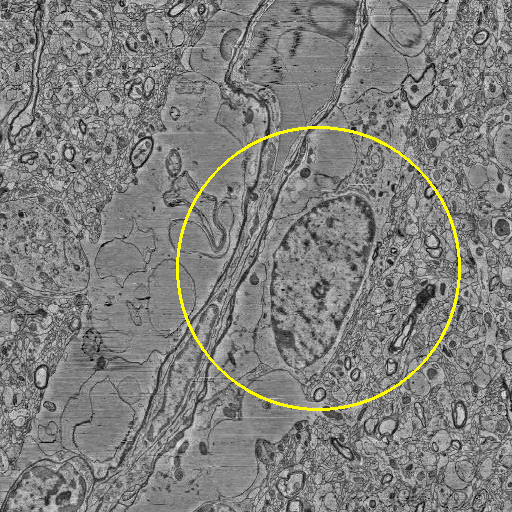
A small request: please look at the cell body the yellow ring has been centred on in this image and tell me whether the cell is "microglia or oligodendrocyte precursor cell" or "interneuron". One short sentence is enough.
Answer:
The cell marked by the ring is a microglial cell or oligodendrocyte precursor cell.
